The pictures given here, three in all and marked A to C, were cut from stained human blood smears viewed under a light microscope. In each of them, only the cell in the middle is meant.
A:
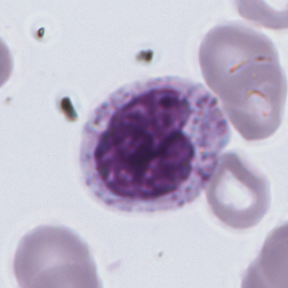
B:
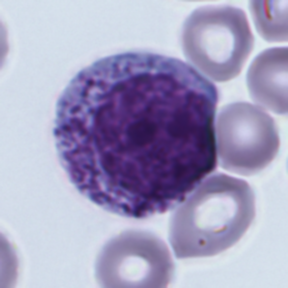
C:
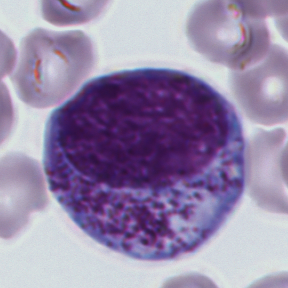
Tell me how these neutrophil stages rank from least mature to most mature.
C, B, A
